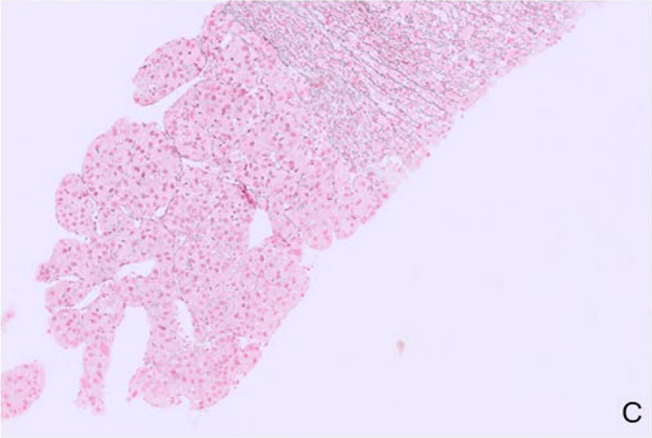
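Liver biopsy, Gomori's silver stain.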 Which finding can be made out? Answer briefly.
Fragmentation and loss of the reticuline network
